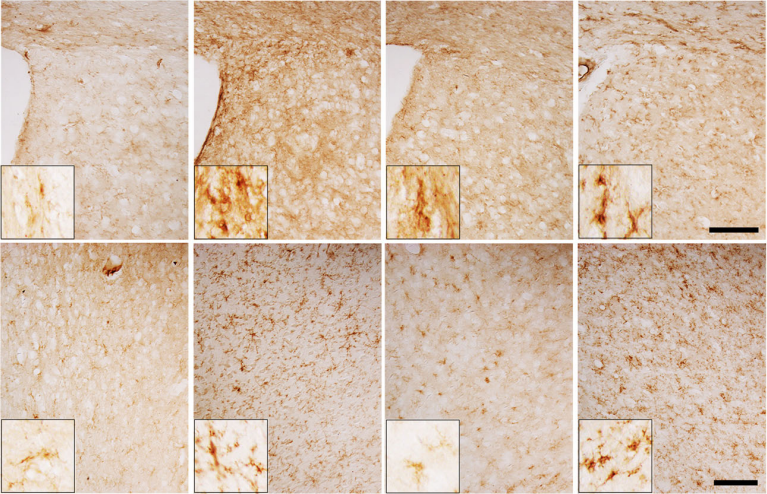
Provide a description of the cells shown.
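These are sections of brain tissue in which small, scattered cells are stained brown against a pale background of neuropil. The stained cells have small bodies from which several fine, branching processes radiate, giving them a bushy, star-like form that is clearest in the enlarged insets. In the upper row the tissue borders an empty ventricular space at the left, and brown cells and processes gather in the tissue along it.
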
